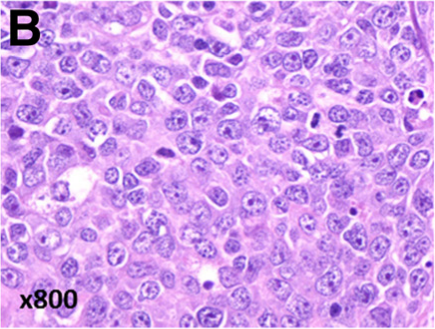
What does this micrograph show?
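A dense, diffuse sheet of large lymphoid tumour cells fills the field. The cells have large round to irregular vesicular nuclei with fine chromatin and one or more conspicuous nucleoli, and a rim of pale pink cytoplasm. The cells lie closely packed without any intervening normal tissue architecture, and scattered darker, condensed nuclei suggest mitotic figures.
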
